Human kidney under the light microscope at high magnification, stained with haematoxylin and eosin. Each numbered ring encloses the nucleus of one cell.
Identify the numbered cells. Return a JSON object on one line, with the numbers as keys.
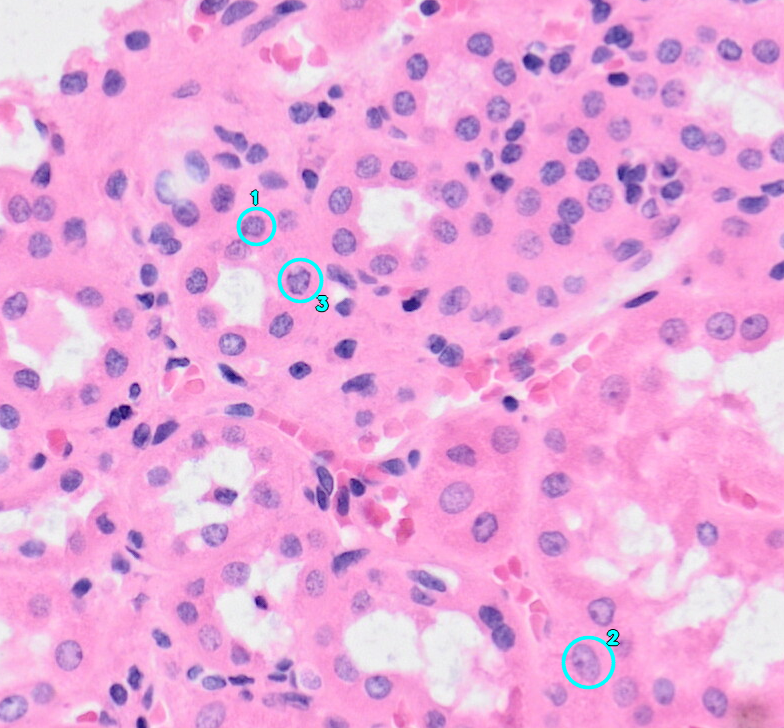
{"1": "loop of Henle or distal tubule cell", "2": "proximal tubule cell", "3": "loop of Henle or distal tubule cell"}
